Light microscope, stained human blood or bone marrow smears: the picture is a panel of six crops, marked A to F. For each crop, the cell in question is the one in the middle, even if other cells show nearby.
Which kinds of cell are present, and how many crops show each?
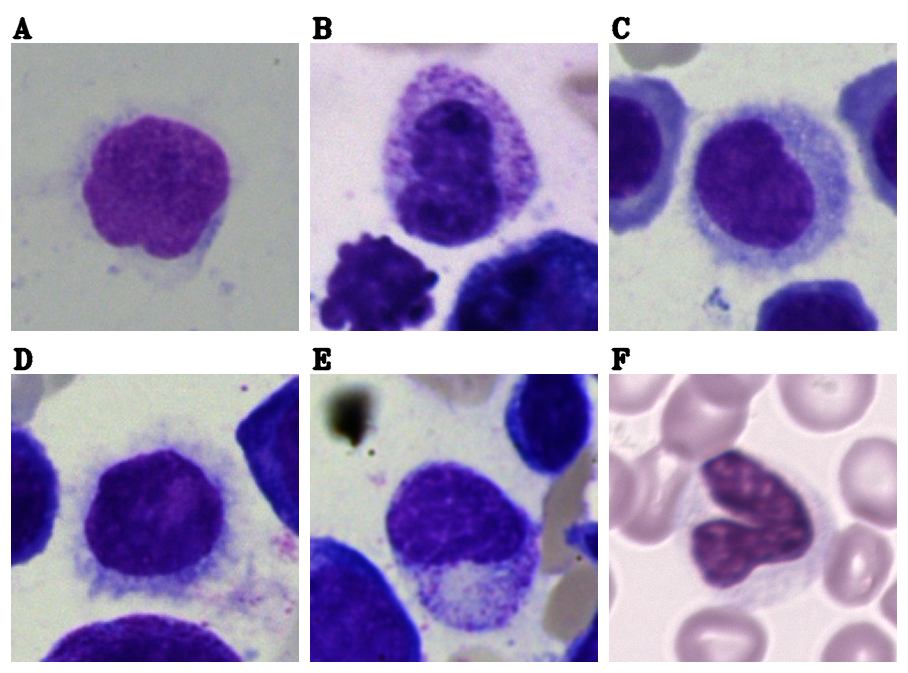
hairy cell: 3
band neutrophil: 2
metamyelocyte: 1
